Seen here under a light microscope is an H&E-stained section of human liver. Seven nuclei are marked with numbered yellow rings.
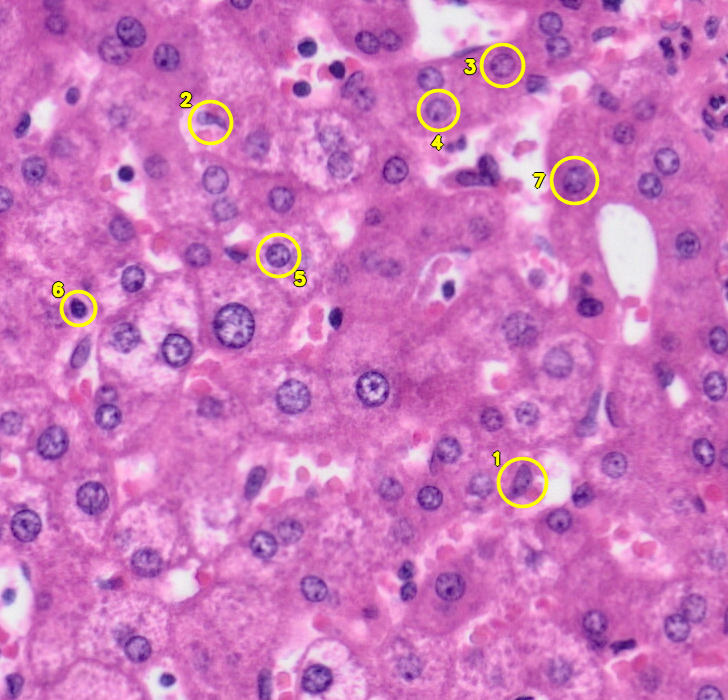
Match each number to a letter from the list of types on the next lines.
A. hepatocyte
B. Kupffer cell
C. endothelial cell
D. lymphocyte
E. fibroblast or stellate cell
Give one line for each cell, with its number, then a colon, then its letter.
1: B
2: C
3: A
4: A
5: A
6: D
7: A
